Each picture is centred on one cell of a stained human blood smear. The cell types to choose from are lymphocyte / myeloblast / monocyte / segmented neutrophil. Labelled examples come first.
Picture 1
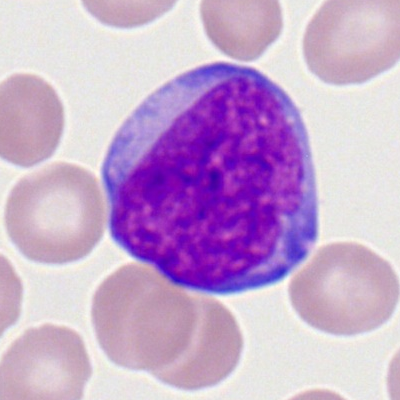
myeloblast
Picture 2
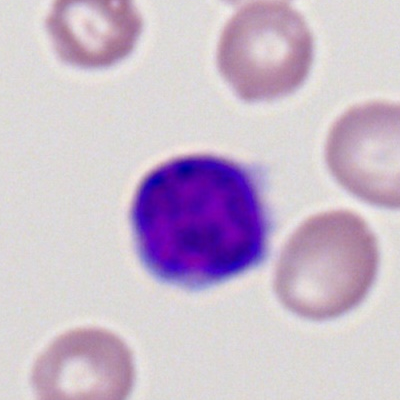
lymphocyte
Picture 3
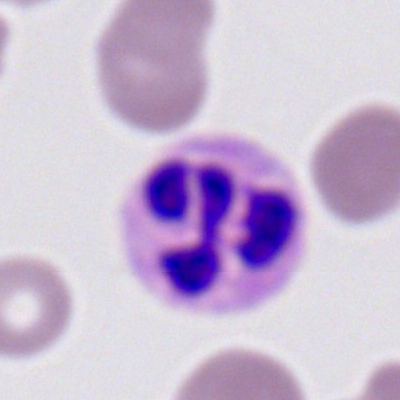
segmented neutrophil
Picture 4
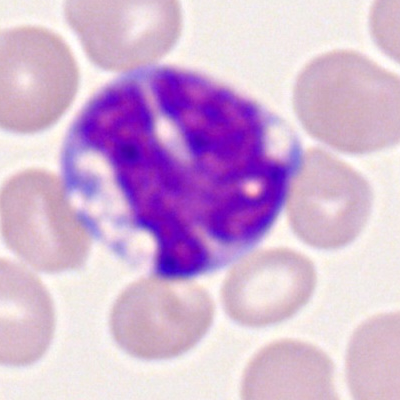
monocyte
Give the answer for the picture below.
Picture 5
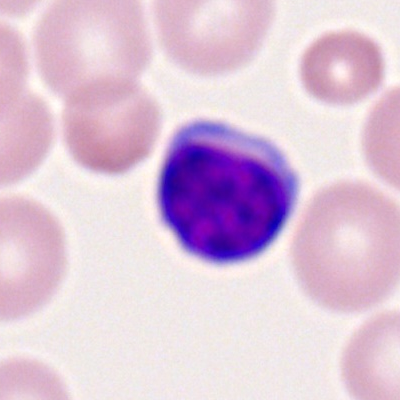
lymphocyte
